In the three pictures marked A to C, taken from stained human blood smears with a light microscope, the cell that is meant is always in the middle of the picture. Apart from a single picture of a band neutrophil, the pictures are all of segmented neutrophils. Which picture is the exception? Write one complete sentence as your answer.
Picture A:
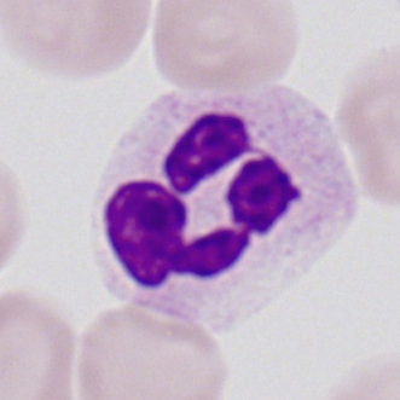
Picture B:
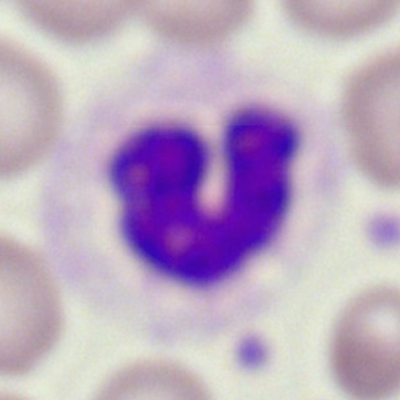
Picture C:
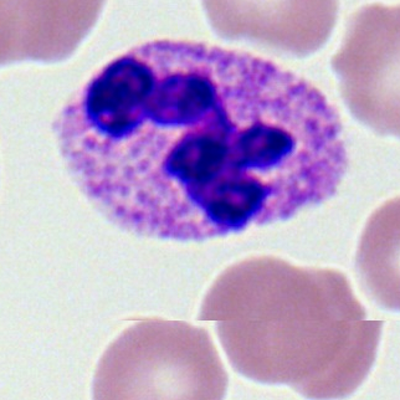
It is picture B that shows the band neutrophil.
